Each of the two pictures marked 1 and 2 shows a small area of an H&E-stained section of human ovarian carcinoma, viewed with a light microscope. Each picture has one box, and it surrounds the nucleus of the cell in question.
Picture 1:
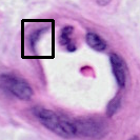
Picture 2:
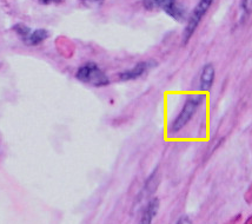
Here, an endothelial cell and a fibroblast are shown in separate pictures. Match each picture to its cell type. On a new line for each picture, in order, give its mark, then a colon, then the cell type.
1: endothelial cell
2: fibroblast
